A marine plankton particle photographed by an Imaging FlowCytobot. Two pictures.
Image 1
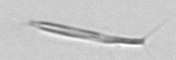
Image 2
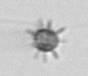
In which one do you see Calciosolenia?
In picture 1.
